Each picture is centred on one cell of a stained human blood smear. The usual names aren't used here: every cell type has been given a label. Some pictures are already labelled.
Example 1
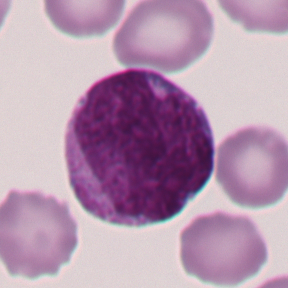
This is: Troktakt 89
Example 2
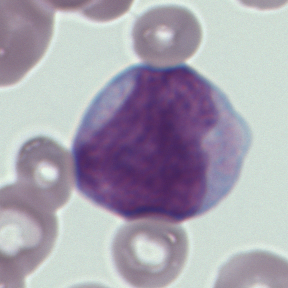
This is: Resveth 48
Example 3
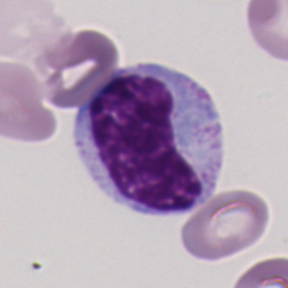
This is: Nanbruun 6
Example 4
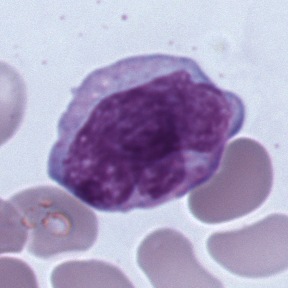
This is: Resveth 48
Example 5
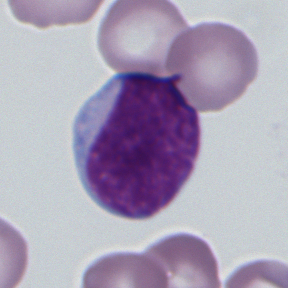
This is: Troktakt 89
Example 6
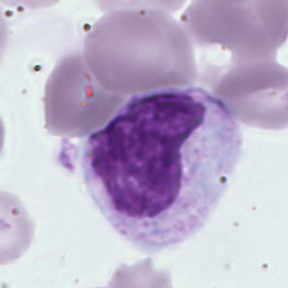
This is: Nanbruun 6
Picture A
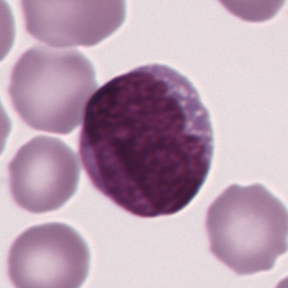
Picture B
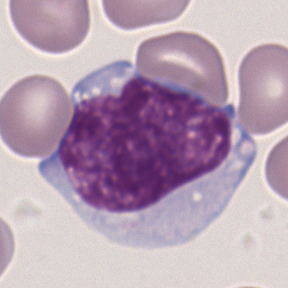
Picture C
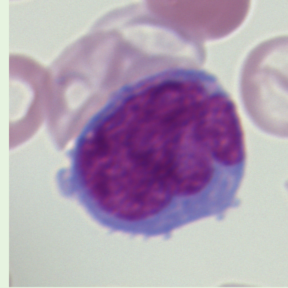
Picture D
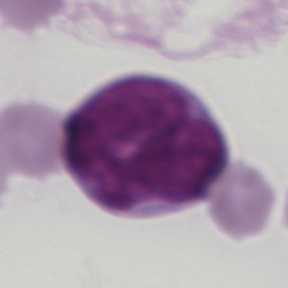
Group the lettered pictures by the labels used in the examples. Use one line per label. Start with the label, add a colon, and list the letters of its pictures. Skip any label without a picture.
Troktakt 89: A, B, C, D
